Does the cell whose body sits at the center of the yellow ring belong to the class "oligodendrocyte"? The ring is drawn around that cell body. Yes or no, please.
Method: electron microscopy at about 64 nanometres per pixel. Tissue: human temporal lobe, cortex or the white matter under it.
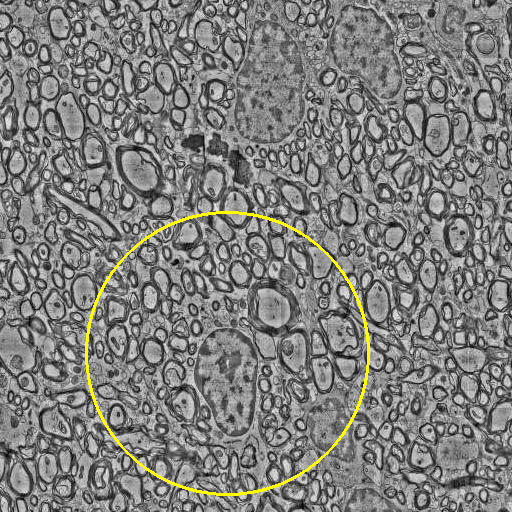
No, it belongs to another class.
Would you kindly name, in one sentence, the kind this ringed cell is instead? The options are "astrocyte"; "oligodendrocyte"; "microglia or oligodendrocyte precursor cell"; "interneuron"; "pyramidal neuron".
The cell enclosed by the ring is a microglial cell or oligodendrocyte precursor cell.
